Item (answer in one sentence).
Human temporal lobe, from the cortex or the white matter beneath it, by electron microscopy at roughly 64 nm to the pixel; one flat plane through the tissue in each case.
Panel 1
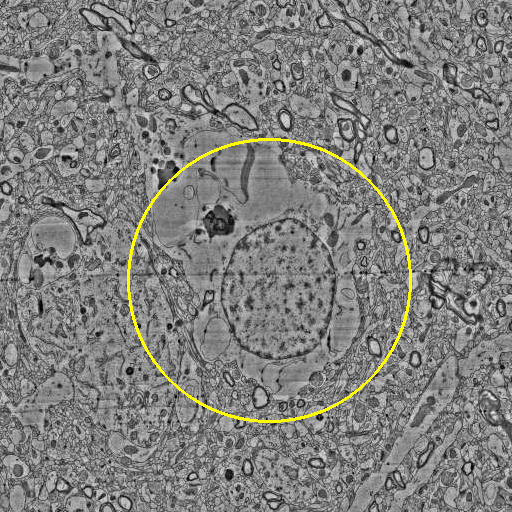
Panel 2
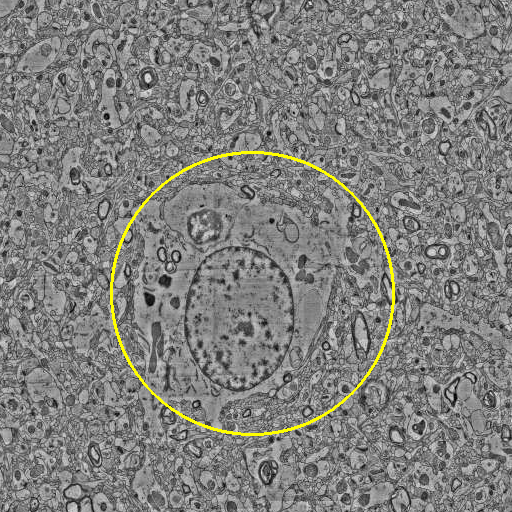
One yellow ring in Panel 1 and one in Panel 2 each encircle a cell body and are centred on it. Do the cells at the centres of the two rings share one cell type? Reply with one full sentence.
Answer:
Yes, Panel 1 and Panel 2 show cells of one type at the centres of their rings.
